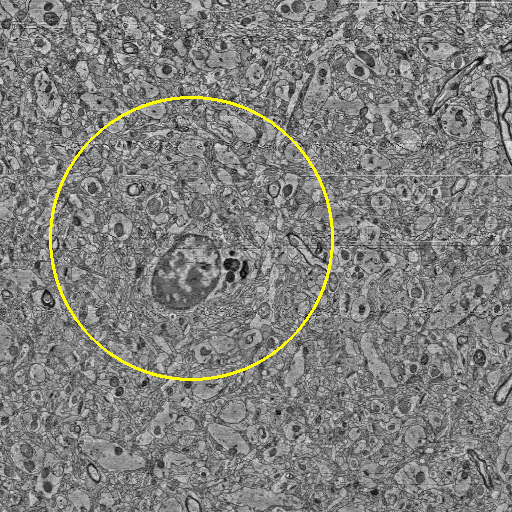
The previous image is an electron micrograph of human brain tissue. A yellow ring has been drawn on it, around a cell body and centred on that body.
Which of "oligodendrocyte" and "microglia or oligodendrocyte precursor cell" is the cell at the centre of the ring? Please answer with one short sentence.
The cell body at the centre of the ring belongs to a microglial cell or oligodendrocyte precursor cell.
